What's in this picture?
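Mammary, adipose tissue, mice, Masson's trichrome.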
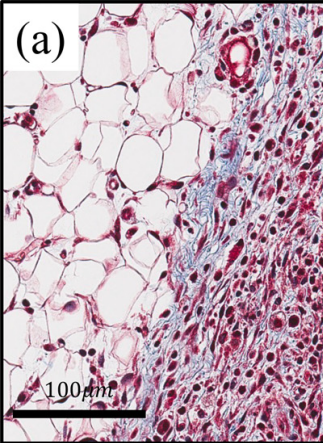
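This section shows the boundary between fatty tissue and a densely cellular tumor. On the left, large polygonal adipocytes appear as empty white spaces bounded by thin pink membranes, with only occasional flattened nuclei at their rims. On the right, tumor cells are packed tightly, with many dark purple nuclei set in red-pink cytoplasm and a few small vessels. The boundary between fat and tumor is fairly continuous and smooth, with little intermixing of the two tissues.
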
